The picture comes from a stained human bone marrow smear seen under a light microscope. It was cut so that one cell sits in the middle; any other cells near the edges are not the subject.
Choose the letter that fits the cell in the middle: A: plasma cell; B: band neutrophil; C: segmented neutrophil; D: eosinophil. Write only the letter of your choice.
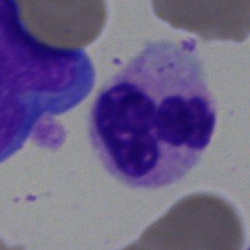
C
